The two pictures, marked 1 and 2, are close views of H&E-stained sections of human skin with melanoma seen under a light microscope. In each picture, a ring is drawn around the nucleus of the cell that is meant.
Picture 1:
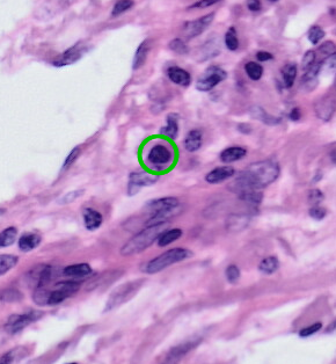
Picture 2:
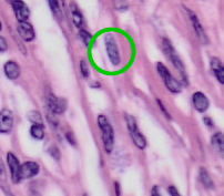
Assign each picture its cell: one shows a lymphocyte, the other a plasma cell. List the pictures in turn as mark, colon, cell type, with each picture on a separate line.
1: plasma cell
2: lymphocyte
